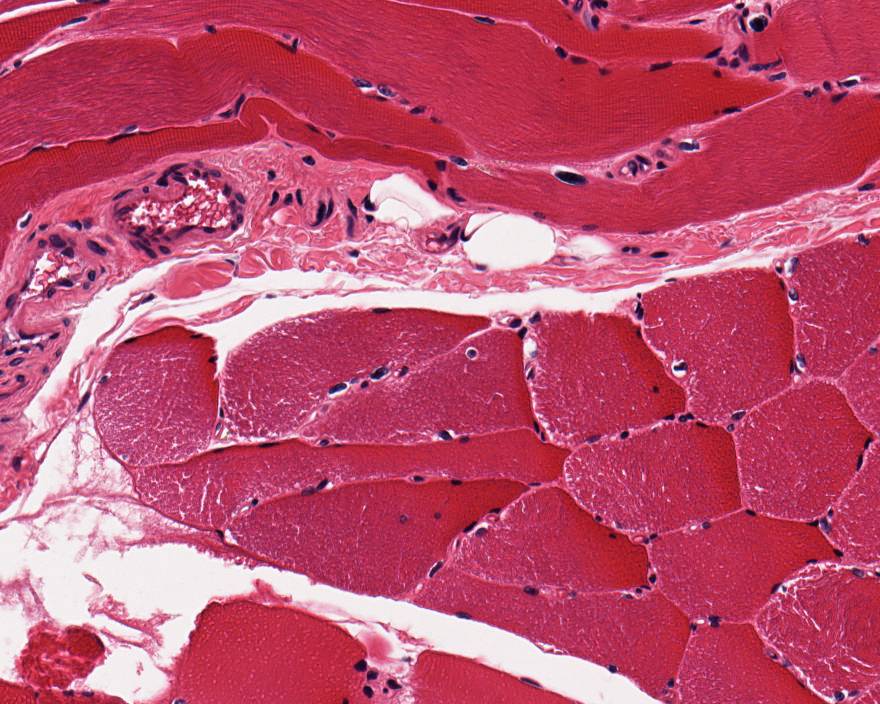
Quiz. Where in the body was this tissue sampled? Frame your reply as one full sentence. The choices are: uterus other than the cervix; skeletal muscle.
The source of this tissue sample is the skeletal muscle.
